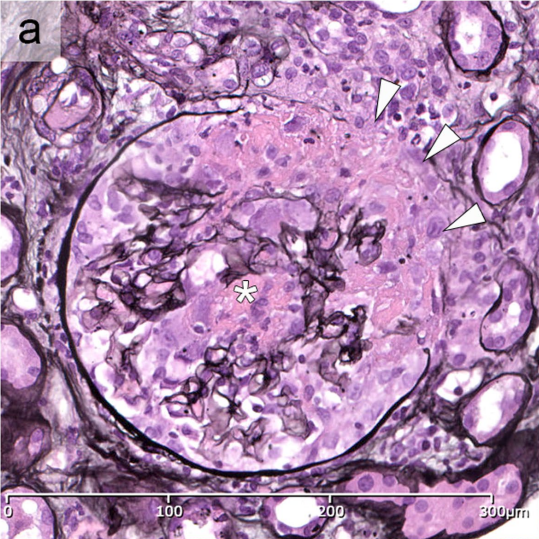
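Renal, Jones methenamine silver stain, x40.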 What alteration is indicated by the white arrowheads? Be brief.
Bowman capsule rupture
